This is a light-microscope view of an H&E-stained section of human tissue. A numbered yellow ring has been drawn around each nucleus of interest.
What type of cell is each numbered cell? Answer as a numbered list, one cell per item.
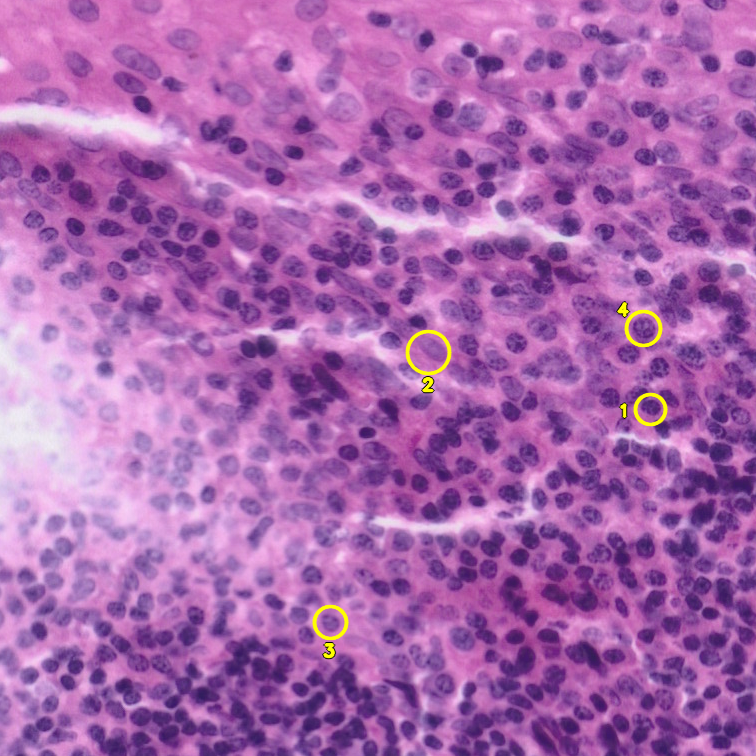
1. plasma cell
2. squamous epithelial cell
3. plasma cell
4. plasma cell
